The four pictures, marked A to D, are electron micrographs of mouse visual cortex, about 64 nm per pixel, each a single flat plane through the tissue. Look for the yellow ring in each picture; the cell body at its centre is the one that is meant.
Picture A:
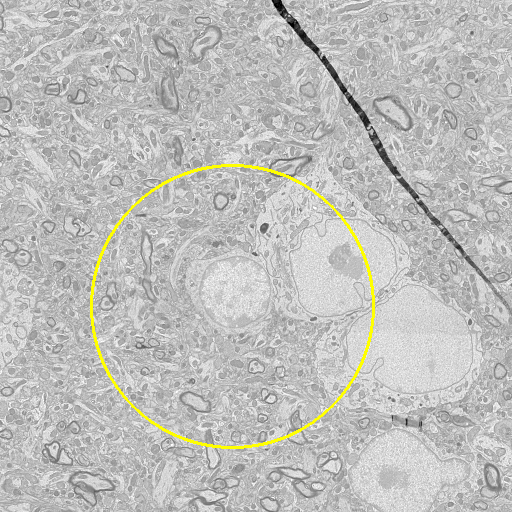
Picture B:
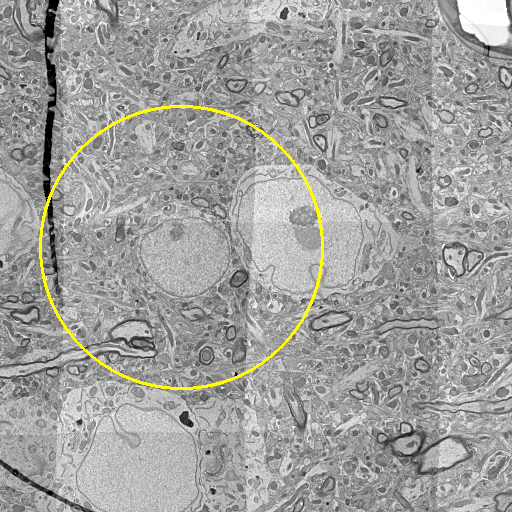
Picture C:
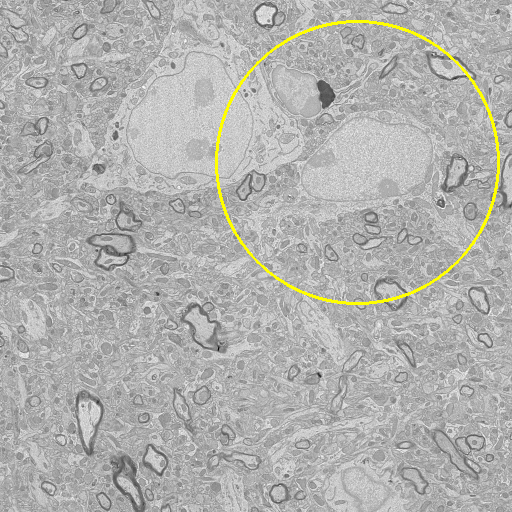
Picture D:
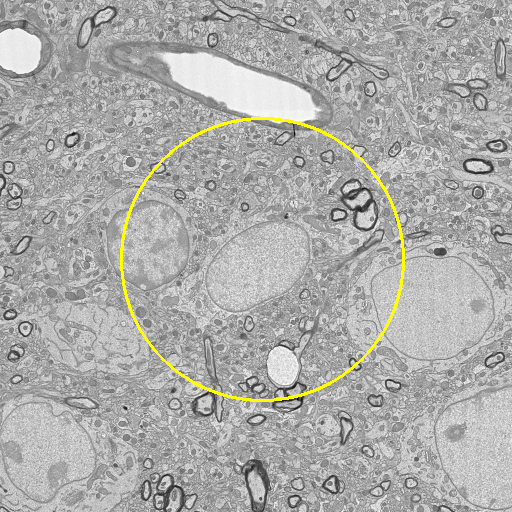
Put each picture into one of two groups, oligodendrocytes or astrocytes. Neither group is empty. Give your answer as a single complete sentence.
Picture A shows an oligodendrocyte, while pictures B, C and D show astrocytes.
